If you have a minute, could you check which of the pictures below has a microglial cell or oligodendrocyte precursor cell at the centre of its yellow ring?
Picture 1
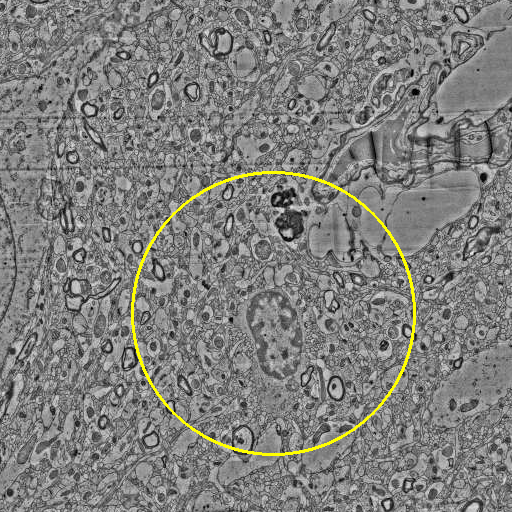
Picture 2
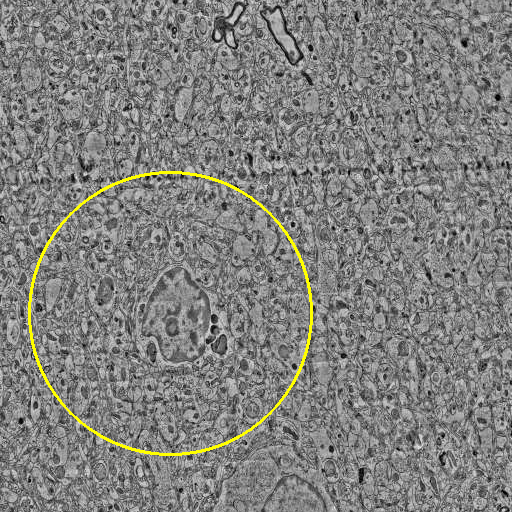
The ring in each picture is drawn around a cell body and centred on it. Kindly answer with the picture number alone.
2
